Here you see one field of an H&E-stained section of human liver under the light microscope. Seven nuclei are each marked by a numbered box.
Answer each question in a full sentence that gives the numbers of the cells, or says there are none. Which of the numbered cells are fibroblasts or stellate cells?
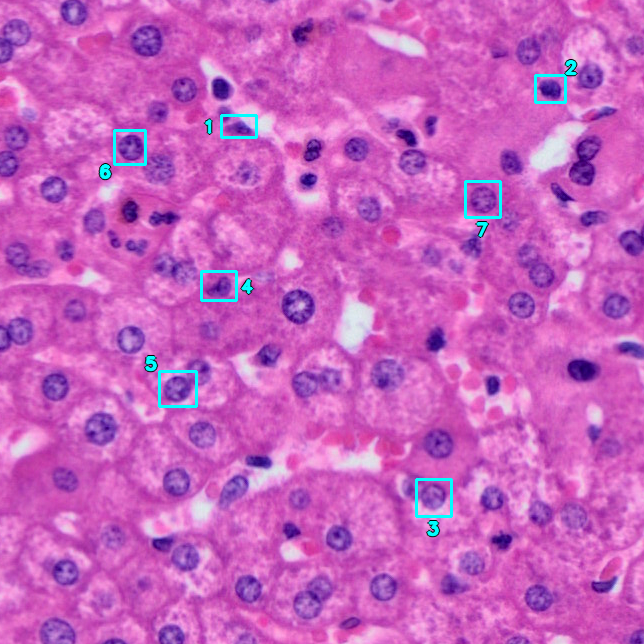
The nucleus numbered 2 is the only one that belongs to a fibroblast or stellate cell.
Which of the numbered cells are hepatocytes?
The cells numbered 3, 5, 6 and 7 are of the kind known as hepatocytes.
